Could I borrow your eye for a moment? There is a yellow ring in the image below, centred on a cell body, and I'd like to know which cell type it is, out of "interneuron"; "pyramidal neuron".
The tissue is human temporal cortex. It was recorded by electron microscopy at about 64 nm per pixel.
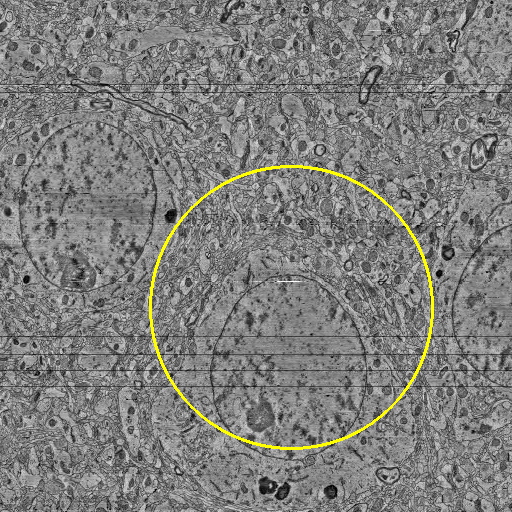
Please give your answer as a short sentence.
The cell body at the centre is that of a pyramidal neuron.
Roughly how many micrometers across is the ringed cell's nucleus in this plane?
Approximately 13 micrometres long and 10 micrometres wide, in this plane.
